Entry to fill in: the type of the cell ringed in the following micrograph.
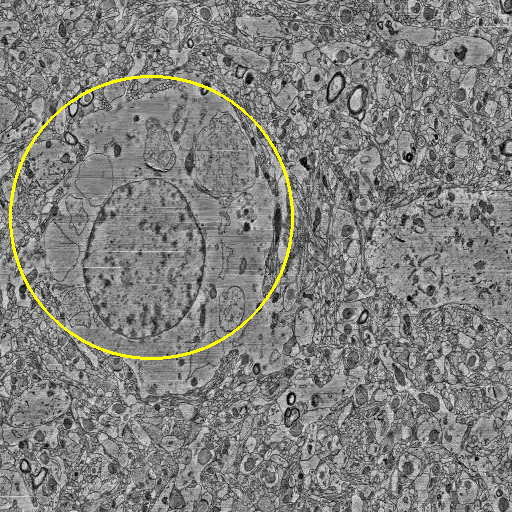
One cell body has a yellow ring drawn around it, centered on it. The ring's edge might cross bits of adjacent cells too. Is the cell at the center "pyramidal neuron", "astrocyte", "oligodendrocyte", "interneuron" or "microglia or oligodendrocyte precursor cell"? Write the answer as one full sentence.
This entry names an astrocyte as the cell whose body lies at the ring's center.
